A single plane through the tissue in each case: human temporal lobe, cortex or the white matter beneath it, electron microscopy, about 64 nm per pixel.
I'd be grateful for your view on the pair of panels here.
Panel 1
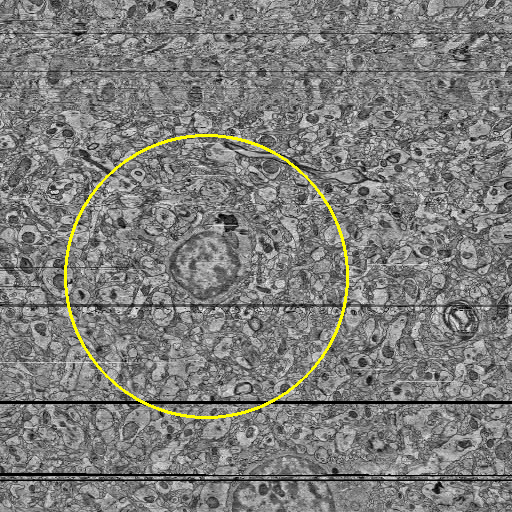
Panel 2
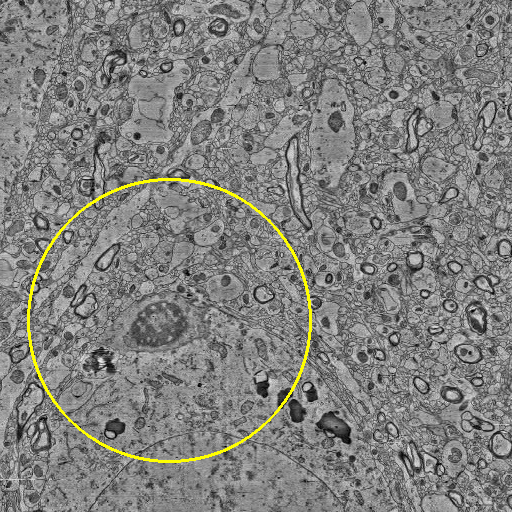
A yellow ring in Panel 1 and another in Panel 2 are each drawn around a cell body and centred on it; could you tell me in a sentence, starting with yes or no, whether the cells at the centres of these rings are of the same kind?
Yes, they are the same kind of cell.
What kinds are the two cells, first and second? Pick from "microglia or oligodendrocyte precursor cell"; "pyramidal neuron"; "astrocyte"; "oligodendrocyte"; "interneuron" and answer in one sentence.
Each cell, in the first picture and the second, is an oligodendrocyte.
